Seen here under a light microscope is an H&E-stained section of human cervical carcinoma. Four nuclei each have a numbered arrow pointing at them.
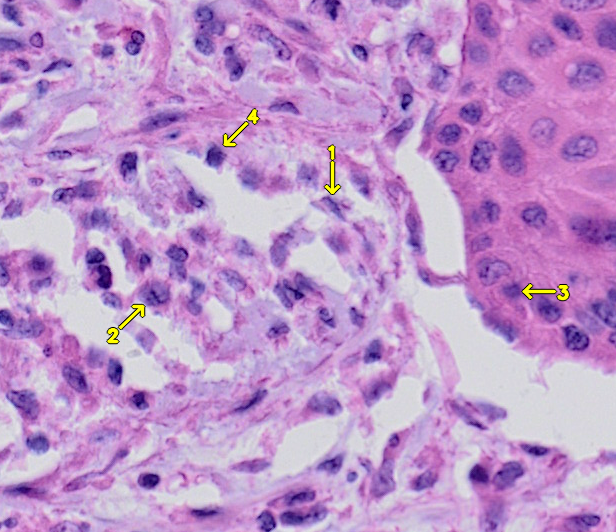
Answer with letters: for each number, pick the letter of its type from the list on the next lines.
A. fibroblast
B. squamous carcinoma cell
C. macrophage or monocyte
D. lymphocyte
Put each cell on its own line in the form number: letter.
1: A
2: C
3: B
4: D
